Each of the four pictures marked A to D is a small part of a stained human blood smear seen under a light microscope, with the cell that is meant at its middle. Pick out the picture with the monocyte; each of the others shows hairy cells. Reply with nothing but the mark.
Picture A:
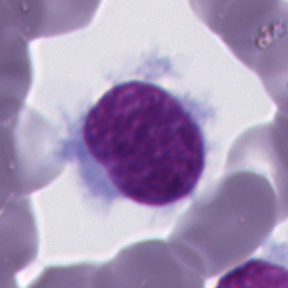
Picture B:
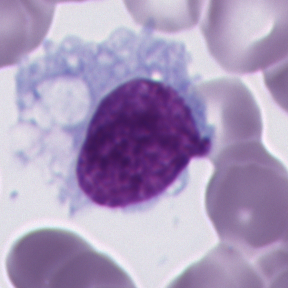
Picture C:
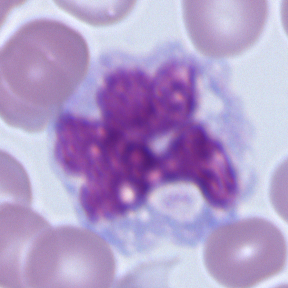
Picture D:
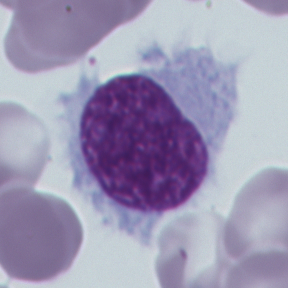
C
